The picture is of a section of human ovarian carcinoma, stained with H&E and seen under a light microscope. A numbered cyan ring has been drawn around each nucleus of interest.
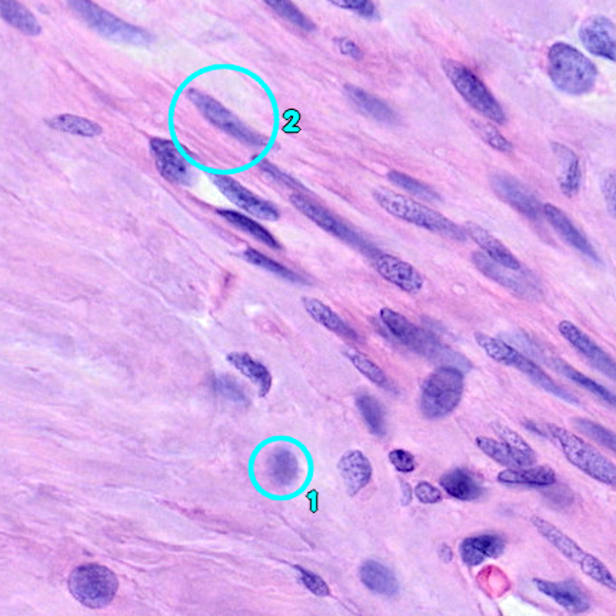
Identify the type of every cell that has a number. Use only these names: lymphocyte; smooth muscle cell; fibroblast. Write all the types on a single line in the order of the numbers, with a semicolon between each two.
fibroblast; smooth muscle cell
